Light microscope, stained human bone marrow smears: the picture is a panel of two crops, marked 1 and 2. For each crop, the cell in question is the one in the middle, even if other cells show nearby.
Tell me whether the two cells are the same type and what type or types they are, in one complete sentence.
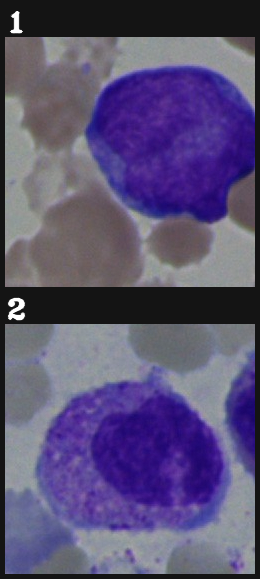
No, the assignment should read crop 1, a blast; crop 2, a myelocyte.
